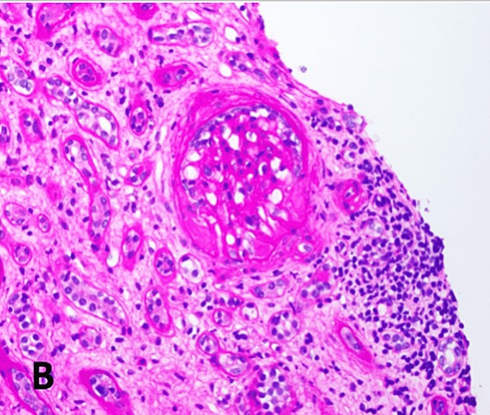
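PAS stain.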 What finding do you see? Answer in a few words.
segmental sclerosis of the glomerulus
